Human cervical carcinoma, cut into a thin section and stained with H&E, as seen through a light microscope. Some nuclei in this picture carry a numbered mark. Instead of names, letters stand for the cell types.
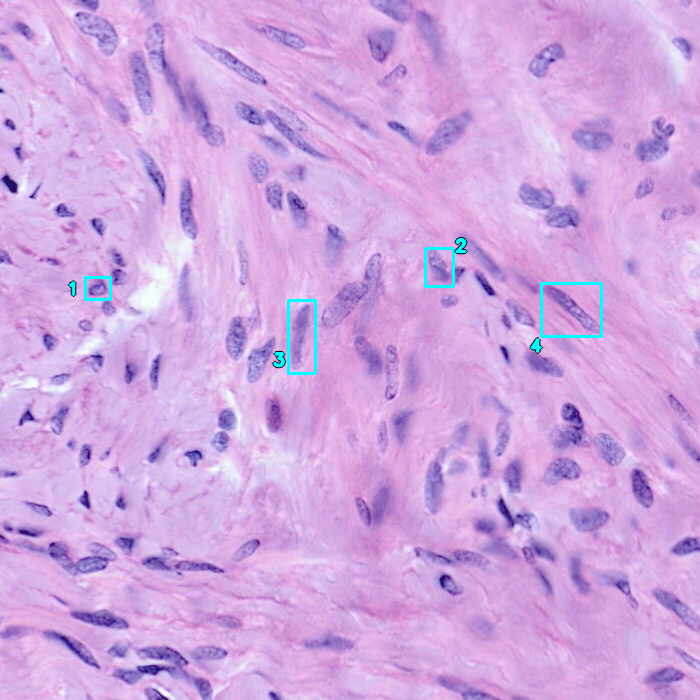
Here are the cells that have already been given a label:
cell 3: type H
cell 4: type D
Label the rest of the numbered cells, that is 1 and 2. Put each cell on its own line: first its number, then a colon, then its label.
1: type D
2: type D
